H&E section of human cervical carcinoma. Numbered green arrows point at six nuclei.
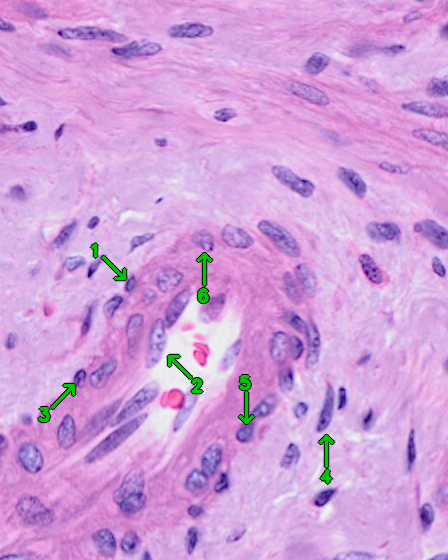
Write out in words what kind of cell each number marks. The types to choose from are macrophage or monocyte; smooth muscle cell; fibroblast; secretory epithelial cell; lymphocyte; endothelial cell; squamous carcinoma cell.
Cell 1 is a smooth muscle cell, cell 2 is an endothelial cell, cell 3 is a smooth muscle cell, cell 4 is a fibroblast, cell 5 is a smooth muscle cell and cell 6 is a smooth muscle cell.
